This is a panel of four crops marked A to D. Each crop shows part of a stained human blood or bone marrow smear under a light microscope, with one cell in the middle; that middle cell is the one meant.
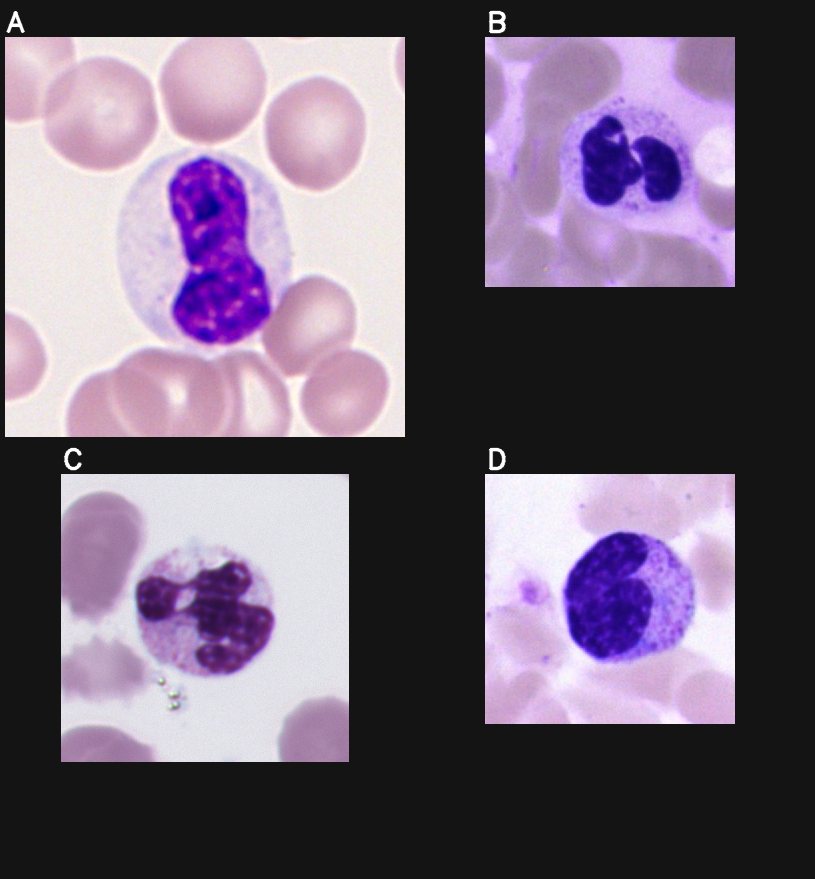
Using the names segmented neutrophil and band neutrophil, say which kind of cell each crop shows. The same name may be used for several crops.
A: band neutrophil
B: segmented neutrophil
C: segmented neutrophil
D: band neutrophil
